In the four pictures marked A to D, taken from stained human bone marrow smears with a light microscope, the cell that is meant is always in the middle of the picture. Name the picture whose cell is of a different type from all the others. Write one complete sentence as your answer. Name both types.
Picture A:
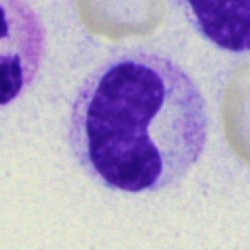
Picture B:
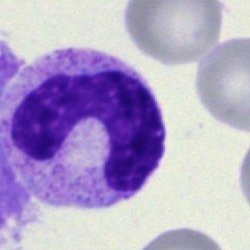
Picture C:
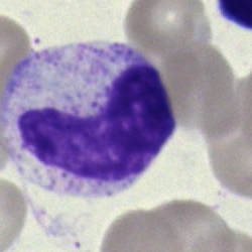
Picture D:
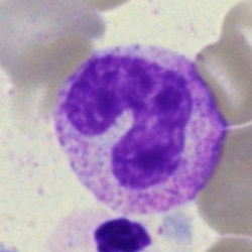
The others show band neutrophils, but picture C shows a metamyelocyte.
